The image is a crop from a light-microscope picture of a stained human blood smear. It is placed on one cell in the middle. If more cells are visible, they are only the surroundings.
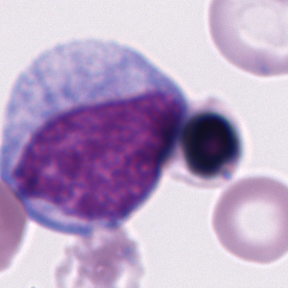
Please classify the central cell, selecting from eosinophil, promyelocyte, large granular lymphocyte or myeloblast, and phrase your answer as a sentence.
At the middle of the frame sits a promyelocyte.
